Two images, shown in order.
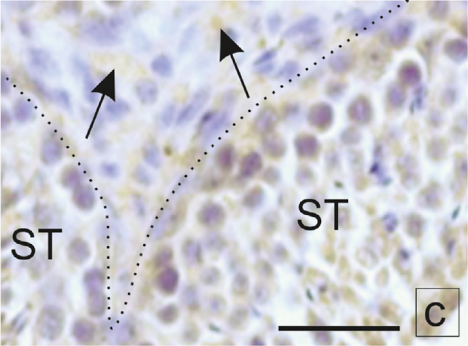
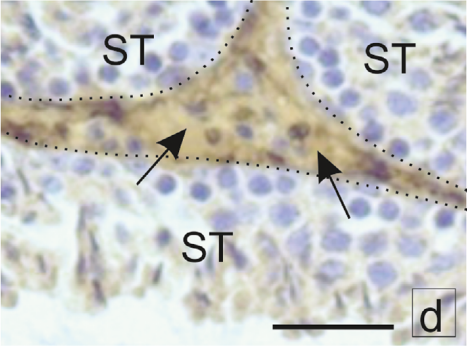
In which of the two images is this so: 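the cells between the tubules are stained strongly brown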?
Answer: The second image.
